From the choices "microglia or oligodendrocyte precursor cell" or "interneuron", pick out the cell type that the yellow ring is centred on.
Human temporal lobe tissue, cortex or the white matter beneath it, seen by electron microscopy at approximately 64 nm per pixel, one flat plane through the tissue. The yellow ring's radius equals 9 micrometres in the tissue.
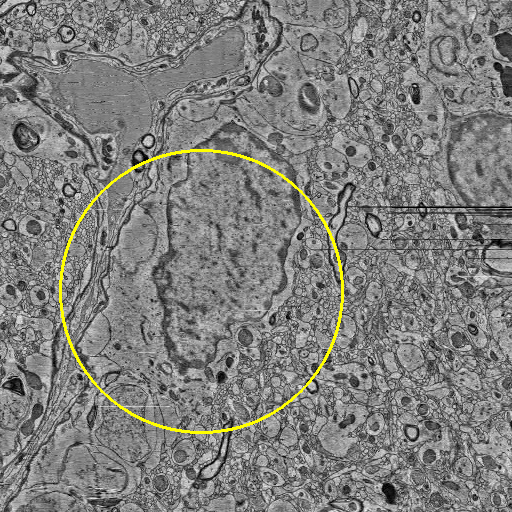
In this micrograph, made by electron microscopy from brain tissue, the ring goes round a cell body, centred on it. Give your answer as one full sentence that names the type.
The yellow ring is centred on a microglial cell or oligodendrocyte precursor cell, whose cell body it encircles in the picture.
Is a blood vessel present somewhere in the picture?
Yes, one is visible.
